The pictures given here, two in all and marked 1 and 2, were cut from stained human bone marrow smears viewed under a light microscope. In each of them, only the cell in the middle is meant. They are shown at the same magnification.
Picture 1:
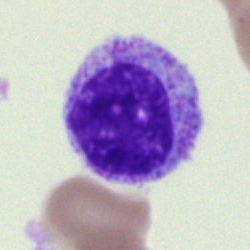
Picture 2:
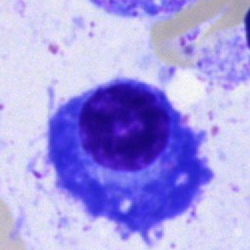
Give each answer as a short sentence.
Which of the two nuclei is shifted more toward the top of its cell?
Seen within its cell, the nucleus in picture 2 lies further toward the top.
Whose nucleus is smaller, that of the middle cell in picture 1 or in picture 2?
The nucleus in picture 2 is smaller; the one in picture 1 has about 1.5 times its area.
